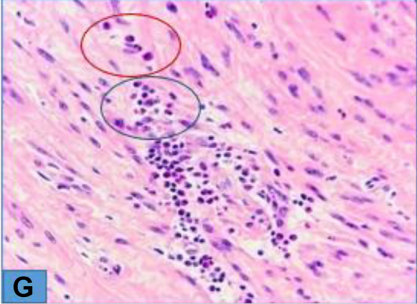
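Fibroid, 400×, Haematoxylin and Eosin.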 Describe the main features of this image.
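Pale pink tissue of elongated spindle cells with slender, cigar-shaped nuclei runs in parallel streams. Through the middle a streak of small round cells with dark purple nuclei cuts across the spindle cells, densest in one cluster and trailing downward. Some of these small cells have lobed nuclei and pinker cytoplasm, while others are compact with round dense nuclei.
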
